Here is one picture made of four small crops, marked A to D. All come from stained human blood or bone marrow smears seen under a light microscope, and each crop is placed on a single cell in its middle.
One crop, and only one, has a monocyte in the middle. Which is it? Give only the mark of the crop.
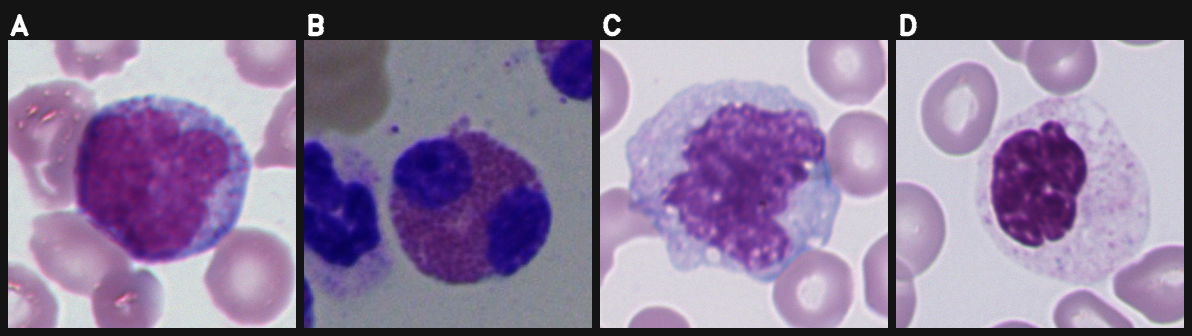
C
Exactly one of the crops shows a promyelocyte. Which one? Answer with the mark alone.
A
